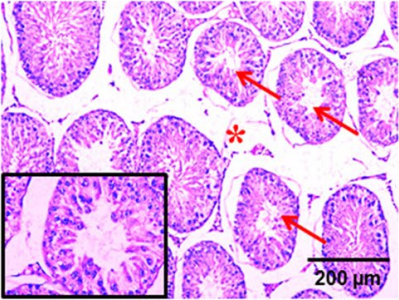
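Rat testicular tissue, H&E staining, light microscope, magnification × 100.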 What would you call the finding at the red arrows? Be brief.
Germ cell loss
